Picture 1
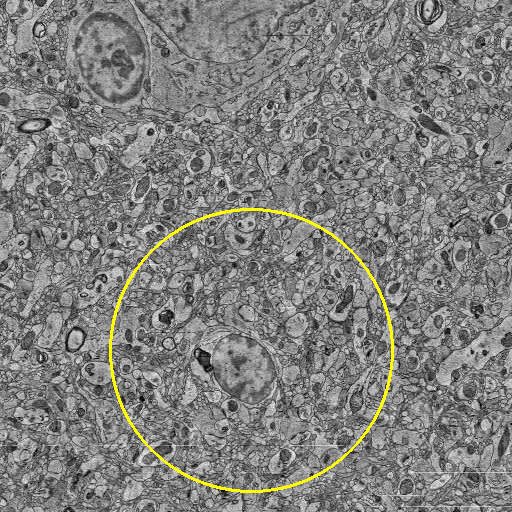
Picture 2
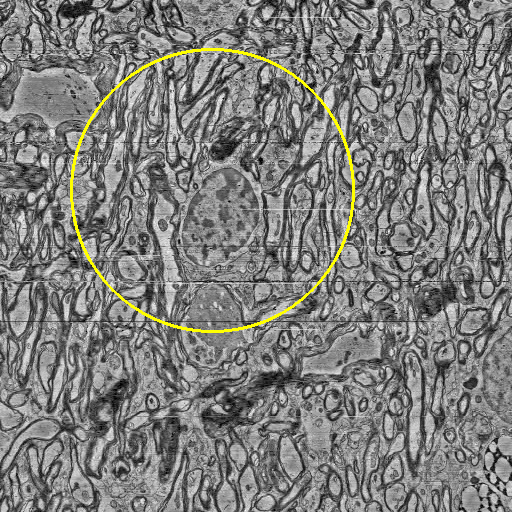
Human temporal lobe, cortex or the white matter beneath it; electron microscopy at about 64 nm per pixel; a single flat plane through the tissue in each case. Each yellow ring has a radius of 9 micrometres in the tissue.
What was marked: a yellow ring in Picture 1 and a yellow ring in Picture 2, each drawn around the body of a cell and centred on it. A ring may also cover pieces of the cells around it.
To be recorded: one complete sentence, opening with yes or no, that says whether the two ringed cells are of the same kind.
Yes, the two ringed cells are of the same kind.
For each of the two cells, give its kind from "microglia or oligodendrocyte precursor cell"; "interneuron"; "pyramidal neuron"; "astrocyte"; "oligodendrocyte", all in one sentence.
Both pictures show a microglial cell or oligodendrocyte precursor cell at the centre of the ring.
